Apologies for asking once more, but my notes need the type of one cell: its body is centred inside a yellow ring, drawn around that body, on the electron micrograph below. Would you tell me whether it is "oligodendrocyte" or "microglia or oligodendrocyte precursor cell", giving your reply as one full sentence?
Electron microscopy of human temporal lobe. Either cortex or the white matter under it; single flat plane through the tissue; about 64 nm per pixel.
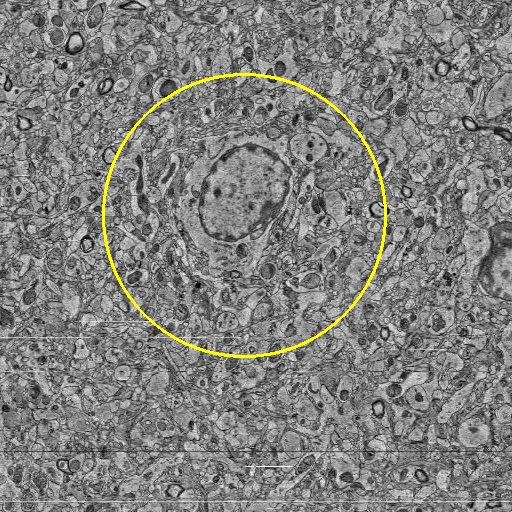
The cell that the yellow ring is centred on is a microglial cell or oligodendrocyte precursor cell in this micrograph.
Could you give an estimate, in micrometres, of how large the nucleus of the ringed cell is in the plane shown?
The nucleus measures about 7 by 5 micrometres in this plane.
